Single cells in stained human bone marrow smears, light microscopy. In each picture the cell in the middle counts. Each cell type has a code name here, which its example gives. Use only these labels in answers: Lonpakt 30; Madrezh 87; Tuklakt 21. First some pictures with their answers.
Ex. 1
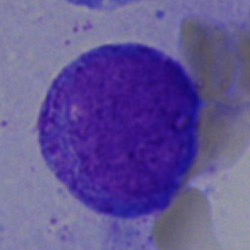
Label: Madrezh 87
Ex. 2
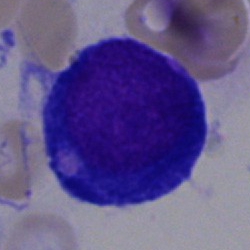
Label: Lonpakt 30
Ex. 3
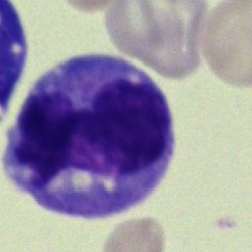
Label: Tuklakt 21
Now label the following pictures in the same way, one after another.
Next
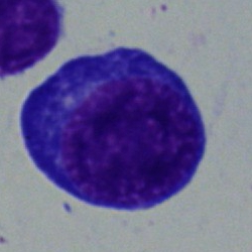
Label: Lonpakt 30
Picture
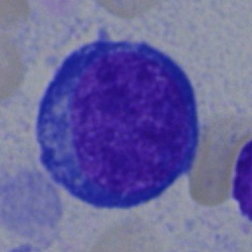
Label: Lonpakt 30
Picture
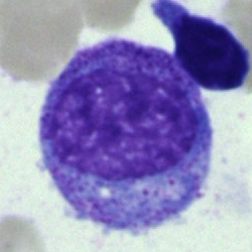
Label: Madrezh 87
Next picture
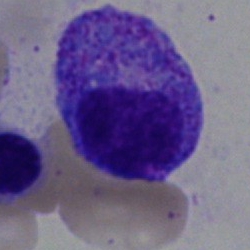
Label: Madrezh 87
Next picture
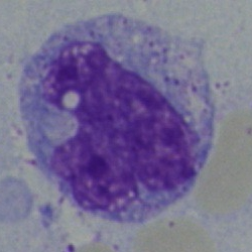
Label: Tuklakt 21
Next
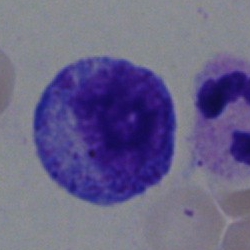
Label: Madrezh 87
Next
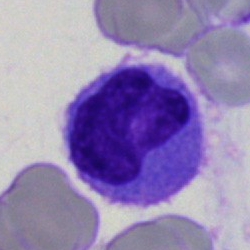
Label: Tuklakt 21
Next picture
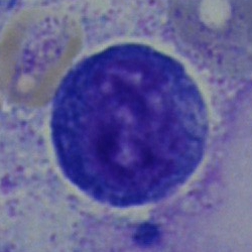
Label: Madrezh 87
